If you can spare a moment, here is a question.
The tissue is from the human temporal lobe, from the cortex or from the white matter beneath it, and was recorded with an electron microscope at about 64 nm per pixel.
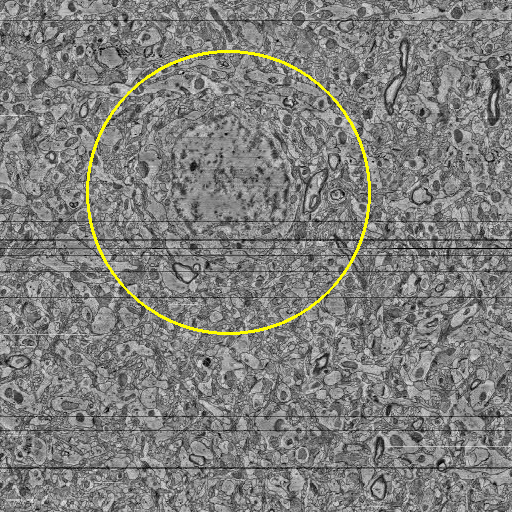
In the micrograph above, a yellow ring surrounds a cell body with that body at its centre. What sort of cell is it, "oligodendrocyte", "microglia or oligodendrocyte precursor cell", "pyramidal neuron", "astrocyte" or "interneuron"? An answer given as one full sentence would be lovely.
Centred inside the yellow ring, the cell body shown belongs to an interneuron in this micrograph.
